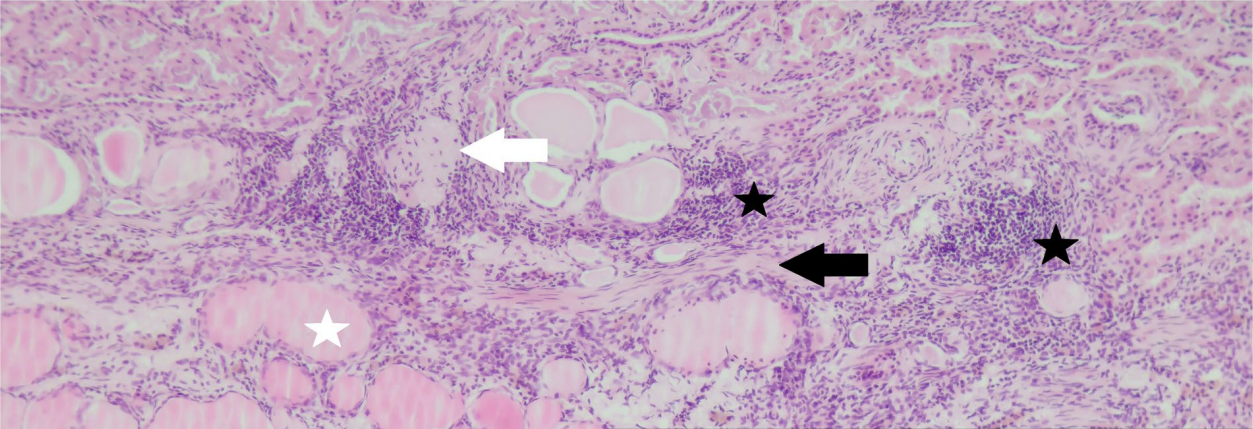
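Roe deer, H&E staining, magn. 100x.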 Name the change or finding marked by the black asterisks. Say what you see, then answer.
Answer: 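Dense clusters of small, dark round nuclei lie between tubules. The clusters have little visible cytoplasm and crowd out the normal tissue. So: mononuclear infiltrates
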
